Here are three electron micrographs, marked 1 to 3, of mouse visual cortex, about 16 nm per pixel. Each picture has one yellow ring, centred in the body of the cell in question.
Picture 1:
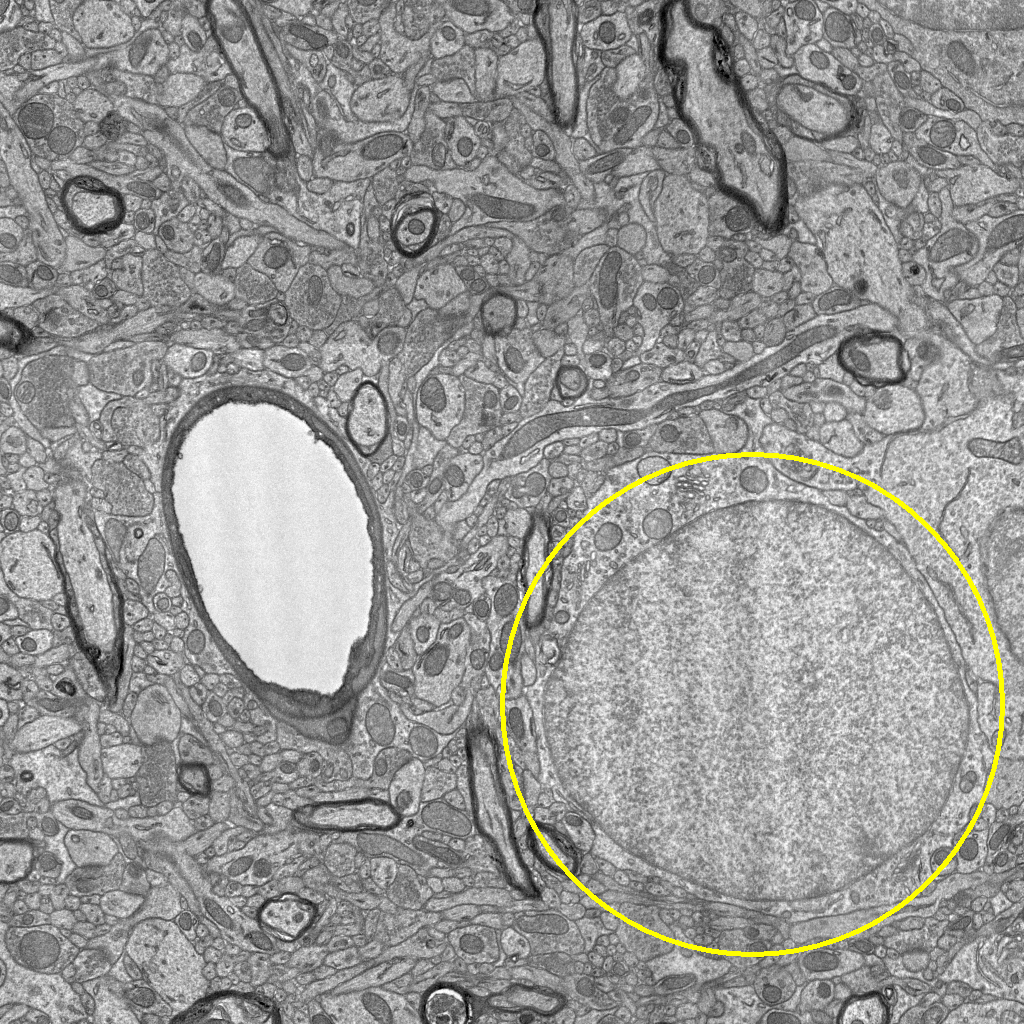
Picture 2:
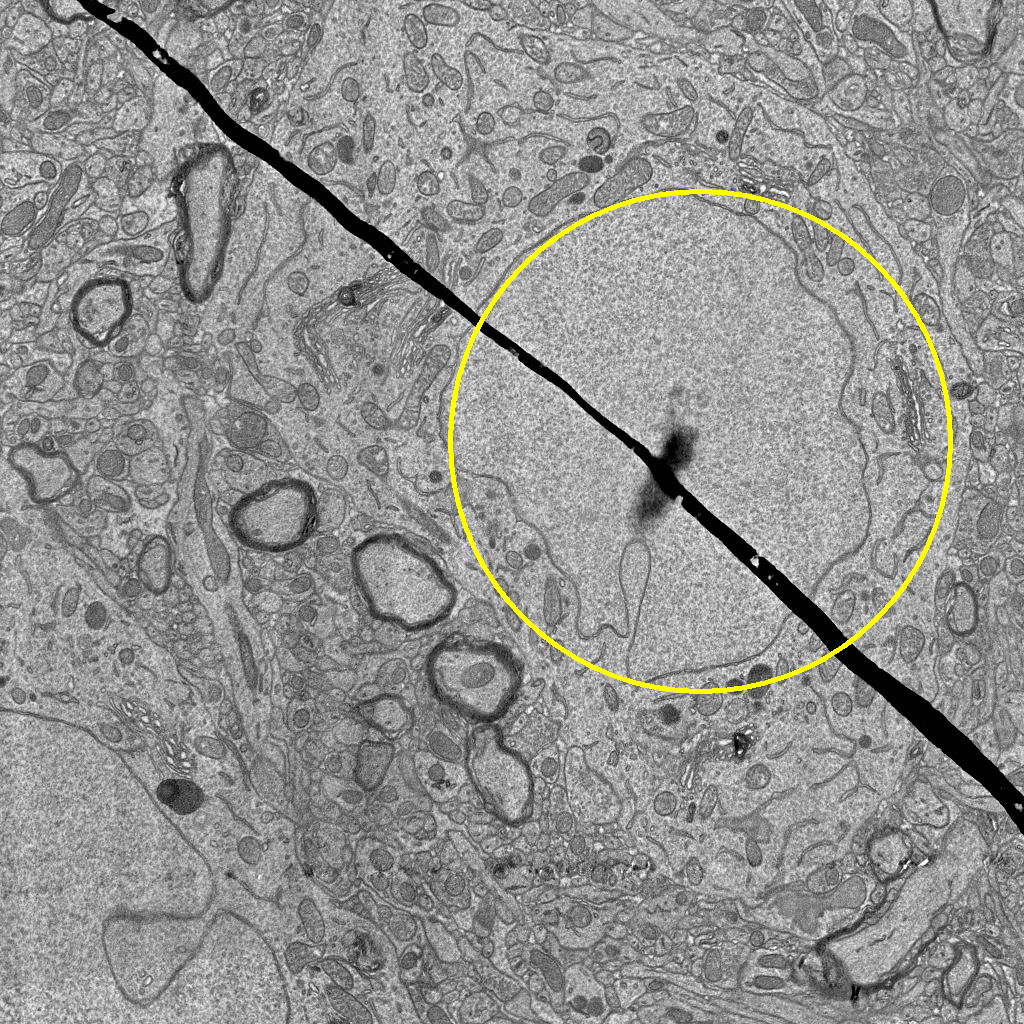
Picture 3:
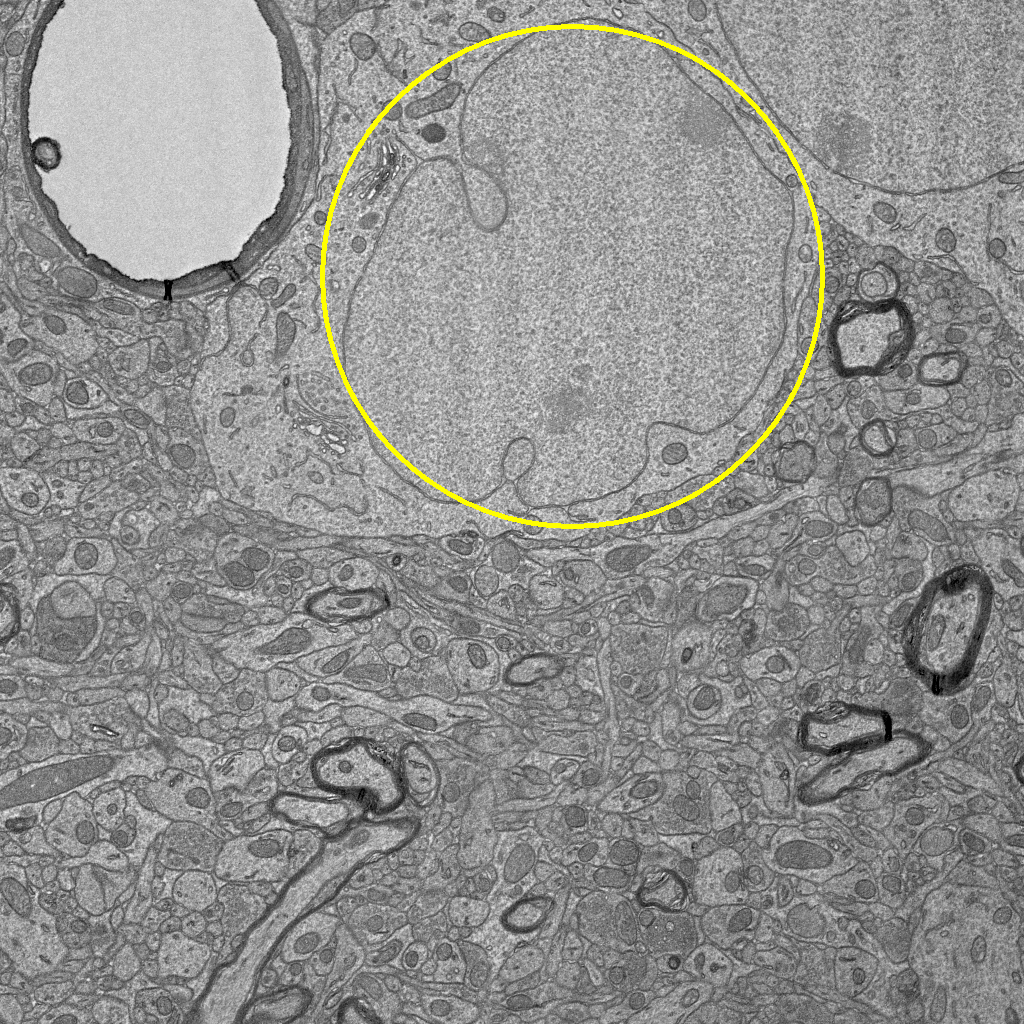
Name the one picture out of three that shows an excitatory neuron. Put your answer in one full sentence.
The excitatory neuron is the one in picture 3.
